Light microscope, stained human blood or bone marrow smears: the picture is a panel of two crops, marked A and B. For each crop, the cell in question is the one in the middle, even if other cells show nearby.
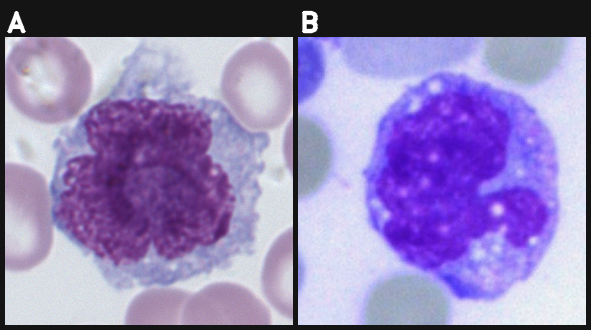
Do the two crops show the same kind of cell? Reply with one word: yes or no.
yes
